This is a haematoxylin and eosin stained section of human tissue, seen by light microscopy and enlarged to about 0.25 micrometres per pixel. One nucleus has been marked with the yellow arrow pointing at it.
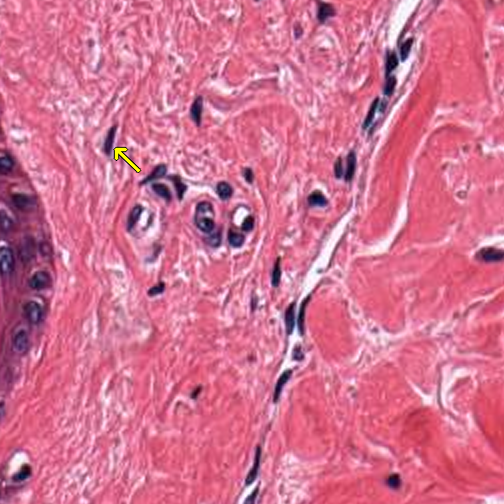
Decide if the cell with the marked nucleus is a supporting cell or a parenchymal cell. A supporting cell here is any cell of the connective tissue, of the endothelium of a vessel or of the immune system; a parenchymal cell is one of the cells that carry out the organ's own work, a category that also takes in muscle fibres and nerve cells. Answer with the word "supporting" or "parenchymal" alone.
supporting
